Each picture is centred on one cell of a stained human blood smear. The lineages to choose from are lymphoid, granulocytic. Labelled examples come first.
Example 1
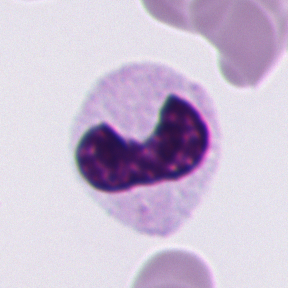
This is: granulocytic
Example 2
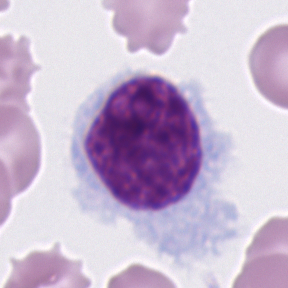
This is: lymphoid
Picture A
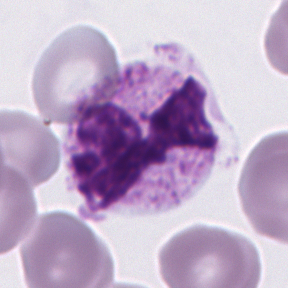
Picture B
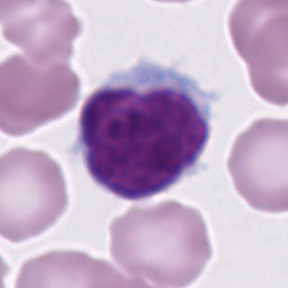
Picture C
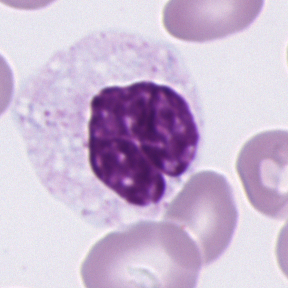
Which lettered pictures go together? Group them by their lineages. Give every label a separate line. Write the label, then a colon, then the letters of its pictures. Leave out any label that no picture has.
lymphoid: B
granulocytic: A, C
